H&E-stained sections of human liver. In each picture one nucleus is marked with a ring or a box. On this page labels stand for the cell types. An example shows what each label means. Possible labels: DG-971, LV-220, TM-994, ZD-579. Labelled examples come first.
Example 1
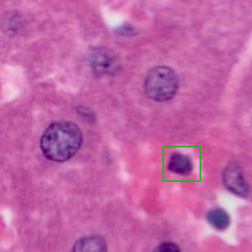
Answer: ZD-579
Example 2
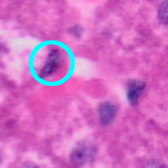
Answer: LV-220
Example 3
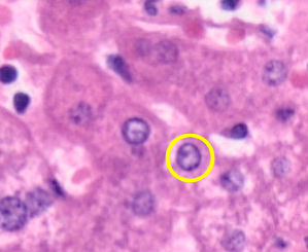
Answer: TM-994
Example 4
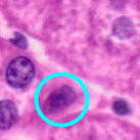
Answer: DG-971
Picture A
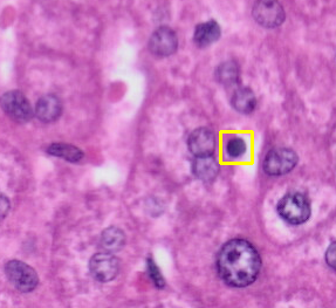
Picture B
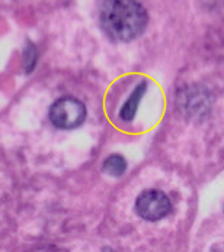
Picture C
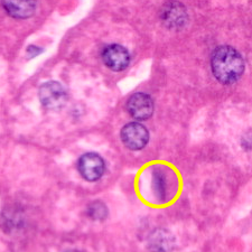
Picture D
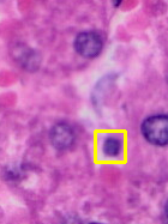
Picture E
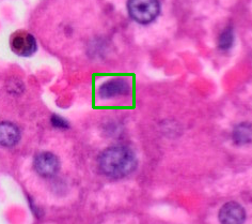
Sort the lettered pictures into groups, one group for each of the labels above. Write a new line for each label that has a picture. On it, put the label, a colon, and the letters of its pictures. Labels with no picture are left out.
DG-971: E
LV-220: C
ZD-579: A, B, D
